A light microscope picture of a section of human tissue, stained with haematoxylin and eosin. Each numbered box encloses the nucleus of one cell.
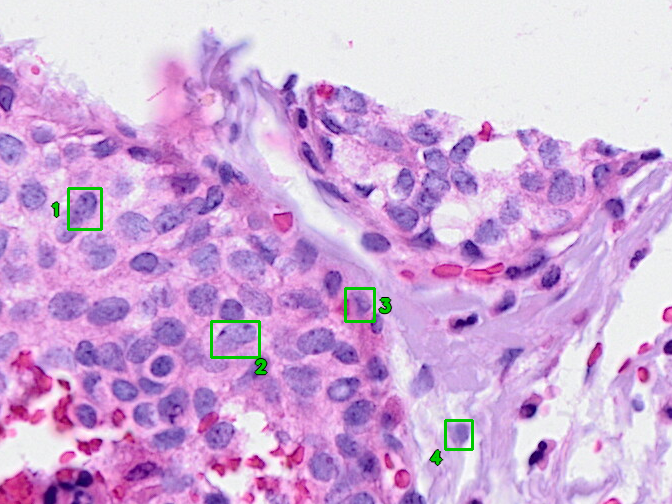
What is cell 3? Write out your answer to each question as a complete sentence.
Looking at the numbered marks, cell 3 is an endothelial cell.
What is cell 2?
The expected answer is that cell 2 is a carcinoma cell.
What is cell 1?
That cell with number 1 is a carcinoma cell.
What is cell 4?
The cell that carries the label 4 is a fibroblast.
